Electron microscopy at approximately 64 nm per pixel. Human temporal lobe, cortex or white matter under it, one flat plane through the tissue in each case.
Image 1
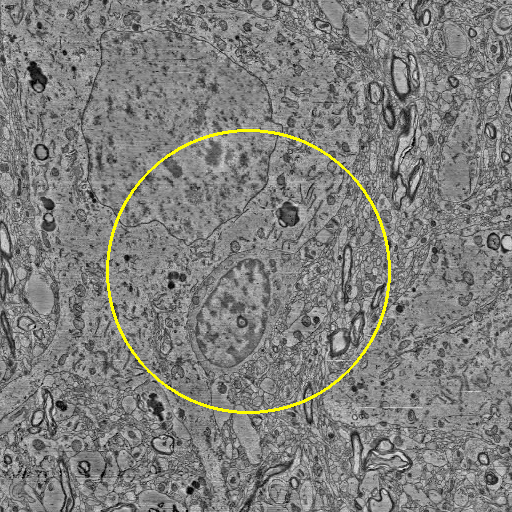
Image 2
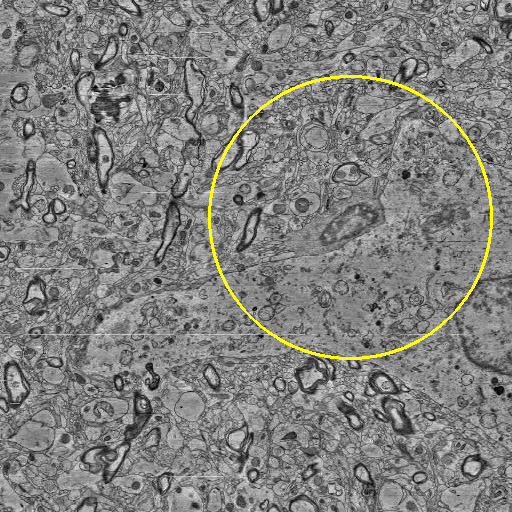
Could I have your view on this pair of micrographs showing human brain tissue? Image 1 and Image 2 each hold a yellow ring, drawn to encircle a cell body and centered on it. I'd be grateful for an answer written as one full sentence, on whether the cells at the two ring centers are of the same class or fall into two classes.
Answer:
The cells at the centers of the two rings are of the same class.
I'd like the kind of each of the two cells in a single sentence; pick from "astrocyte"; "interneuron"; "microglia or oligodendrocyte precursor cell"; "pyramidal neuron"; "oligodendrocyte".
The second cell is an oligodendrocyte, just as the first is.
